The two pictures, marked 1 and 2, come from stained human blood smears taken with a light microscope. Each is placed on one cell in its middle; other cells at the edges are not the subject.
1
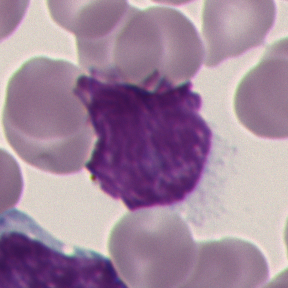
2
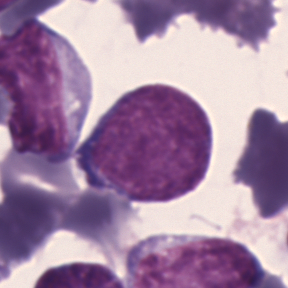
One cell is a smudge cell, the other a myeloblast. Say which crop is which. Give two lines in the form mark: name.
1: smudge cell
2: myeloblast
